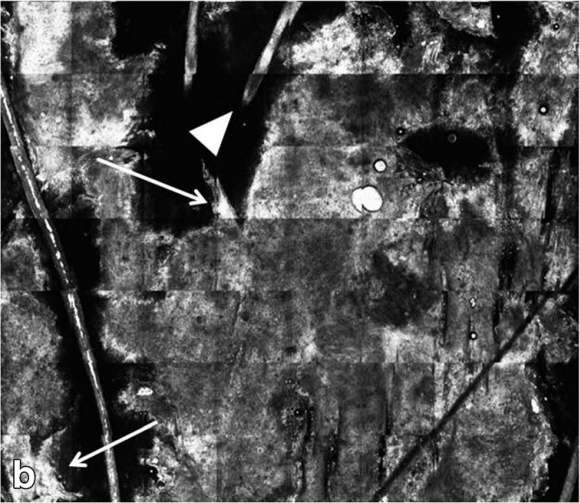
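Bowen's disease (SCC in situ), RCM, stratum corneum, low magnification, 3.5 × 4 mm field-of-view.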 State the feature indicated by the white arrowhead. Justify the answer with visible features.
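Long, thin, straight linear structures cross the field. The lines run across the tiled image independently of the surrounding tissue. That points to this answer: Hair shafts.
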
